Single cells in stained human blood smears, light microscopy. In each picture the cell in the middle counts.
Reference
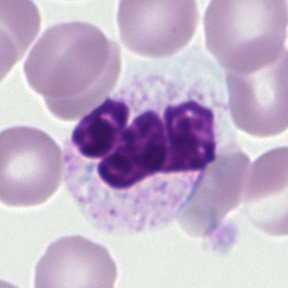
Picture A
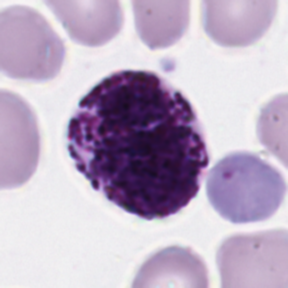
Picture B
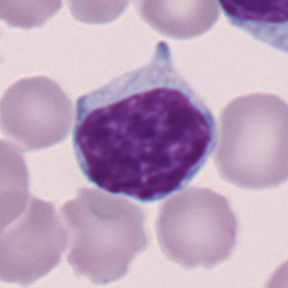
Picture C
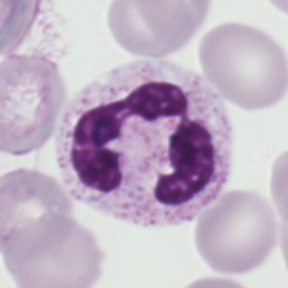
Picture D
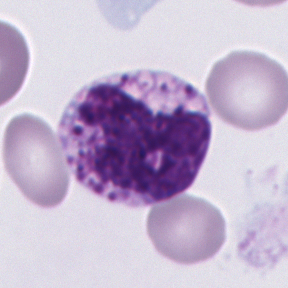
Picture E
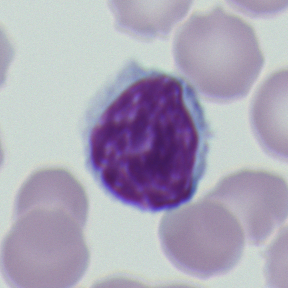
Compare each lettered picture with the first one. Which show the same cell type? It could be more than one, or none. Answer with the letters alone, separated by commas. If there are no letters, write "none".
C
